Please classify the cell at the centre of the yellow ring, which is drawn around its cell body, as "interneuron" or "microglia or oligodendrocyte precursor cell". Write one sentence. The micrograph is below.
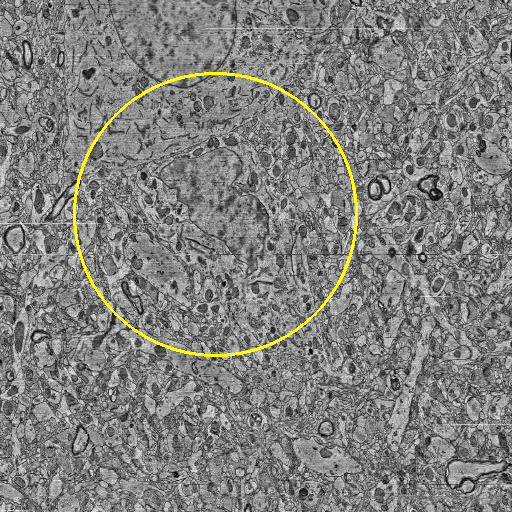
The cell at the ring's centre is classified as an interneuron.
